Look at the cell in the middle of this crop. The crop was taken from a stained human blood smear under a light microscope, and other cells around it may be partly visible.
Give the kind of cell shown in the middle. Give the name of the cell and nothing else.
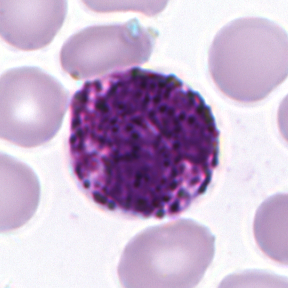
basophil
